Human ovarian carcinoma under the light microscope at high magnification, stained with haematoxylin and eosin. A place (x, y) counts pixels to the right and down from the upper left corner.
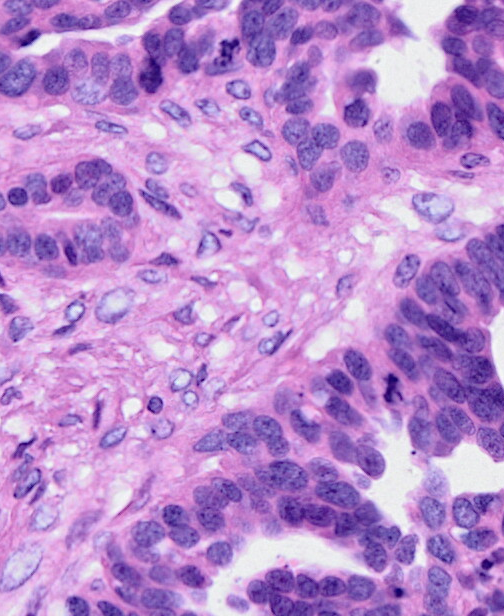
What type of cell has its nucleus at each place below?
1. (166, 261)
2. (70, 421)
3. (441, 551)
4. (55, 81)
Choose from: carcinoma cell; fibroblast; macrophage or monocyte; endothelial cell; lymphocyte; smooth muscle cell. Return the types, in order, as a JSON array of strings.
["fibroblast", "fibroblast", "carcinoma cell", "carcinoma cell"]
